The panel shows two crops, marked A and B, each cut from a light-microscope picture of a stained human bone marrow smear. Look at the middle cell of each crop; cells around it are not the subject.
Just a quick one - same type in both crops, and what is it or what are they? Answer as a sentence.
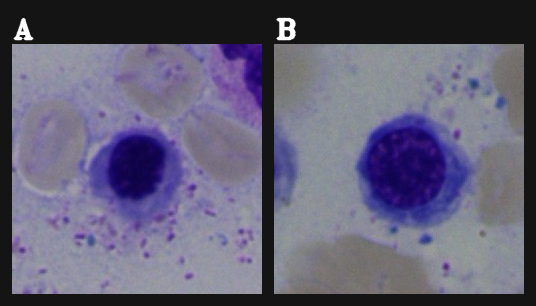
Yes, erythroblasts are the cells in the middle of both crops.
